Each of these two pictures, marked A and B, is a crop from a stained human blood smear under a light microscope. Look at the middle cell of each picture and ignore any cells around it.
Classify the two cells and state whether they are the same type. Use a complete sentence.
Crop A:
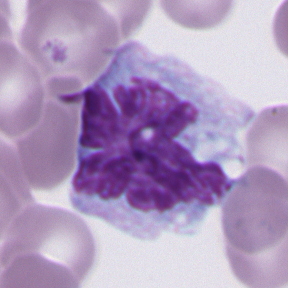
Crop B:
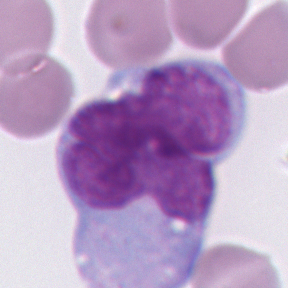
Yes, monocytes are present at the centre of both crops.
